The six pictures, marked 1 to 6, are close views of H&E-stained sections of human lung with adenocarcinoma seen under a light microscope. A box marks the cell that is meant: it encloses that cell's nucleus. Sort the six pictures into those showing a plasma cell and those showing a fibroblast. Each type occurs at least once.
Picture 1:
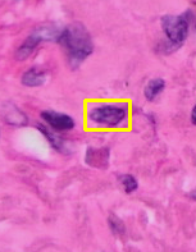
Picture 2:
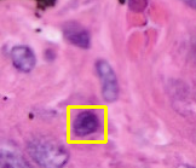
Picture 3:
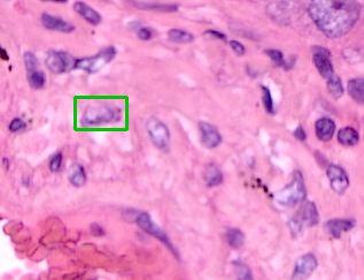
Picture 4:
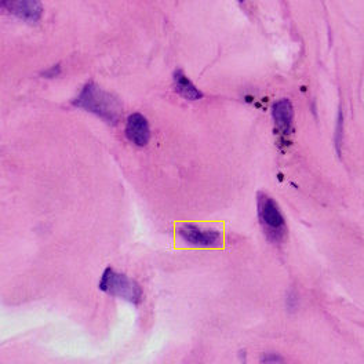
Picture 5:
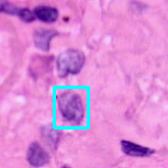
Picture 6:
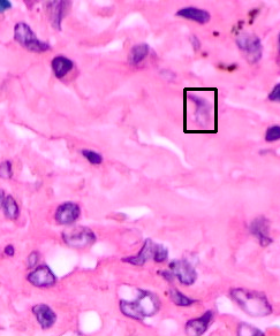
1: plasma cell
2: plasma cell
3: fibroblast
4: fibroblast
5: fibroblast
6: fibroblast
